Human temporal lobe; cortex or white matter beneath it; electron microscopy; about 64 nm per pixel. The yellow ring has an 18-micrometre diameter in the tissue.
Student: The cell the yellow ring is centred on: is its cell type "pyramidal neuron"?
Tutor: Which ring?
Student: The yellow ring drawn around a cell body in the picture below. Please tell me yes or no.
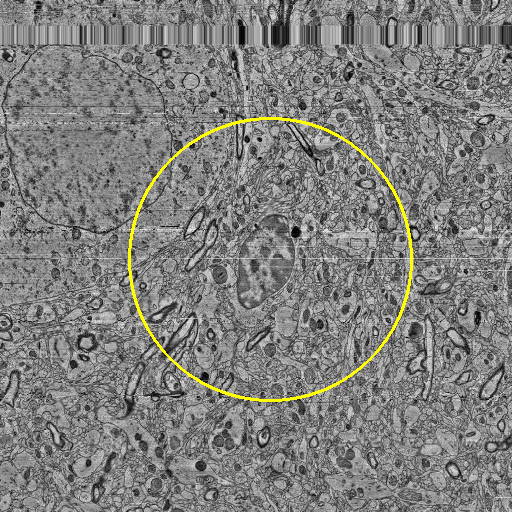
no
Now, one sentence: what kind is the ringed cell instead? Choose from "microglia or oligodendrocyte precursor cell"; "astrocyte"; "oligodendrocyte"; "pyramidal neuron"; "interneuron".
The answer is that the ringed cell is a microglial cell or oligodendrocyte precursor cell.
